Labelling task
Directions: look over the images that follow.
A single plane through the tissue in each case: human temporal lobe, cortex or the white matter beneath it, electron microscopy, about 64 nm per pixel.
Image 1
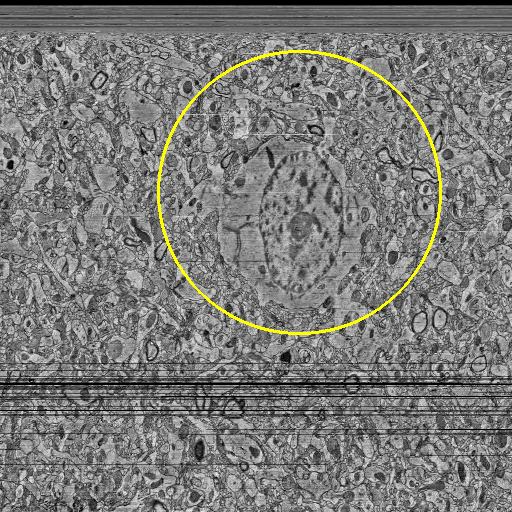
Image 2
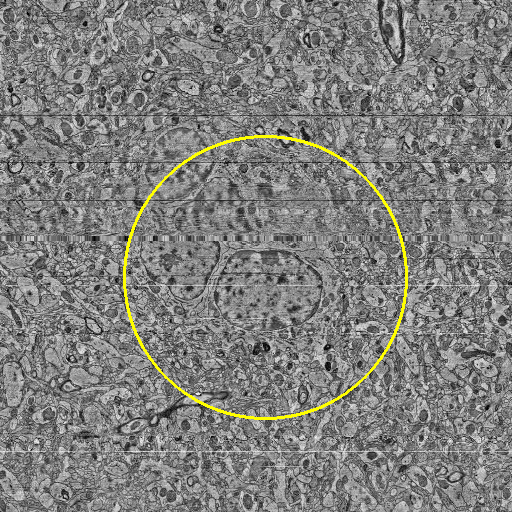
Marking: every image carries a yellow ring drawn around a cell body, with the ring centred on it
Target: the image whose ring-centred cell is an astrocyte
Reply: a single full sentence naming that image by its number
The requested cell sits at the ring's centre in Image 1.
